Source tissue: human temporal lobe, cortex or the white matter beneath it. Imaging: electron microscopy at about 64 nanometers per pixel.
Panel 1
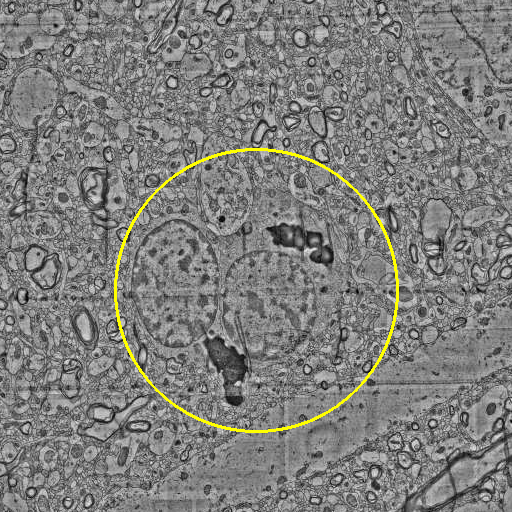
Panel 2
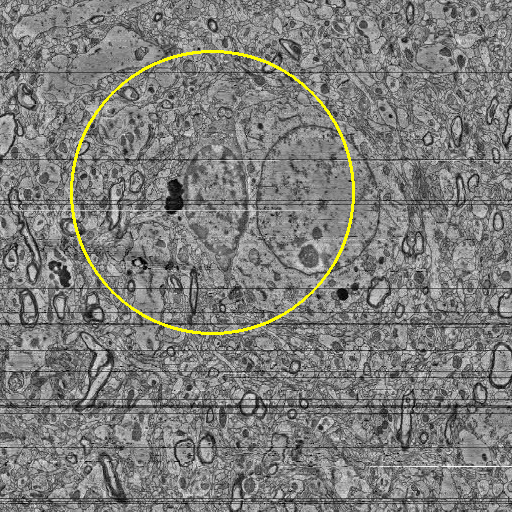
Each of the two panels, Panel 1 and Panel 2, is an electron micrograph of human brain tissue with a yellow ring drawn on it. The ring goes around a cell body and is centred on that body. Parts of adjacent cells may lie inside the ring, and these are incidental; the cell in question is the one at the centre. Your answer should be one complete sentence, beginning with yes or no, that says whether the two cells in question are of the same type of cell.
Yes, the two cells are of the same type.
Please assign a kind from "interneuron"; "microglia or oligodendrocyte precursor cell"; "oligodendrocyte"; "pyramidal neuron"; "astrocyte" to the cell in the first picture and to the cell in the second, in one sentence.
Both the first and the second picture show an oligodendrocyte in the ring.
